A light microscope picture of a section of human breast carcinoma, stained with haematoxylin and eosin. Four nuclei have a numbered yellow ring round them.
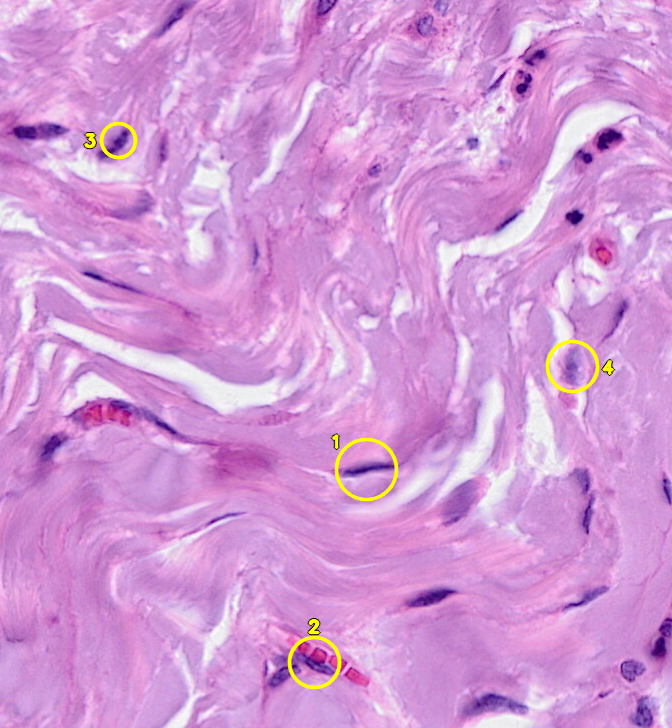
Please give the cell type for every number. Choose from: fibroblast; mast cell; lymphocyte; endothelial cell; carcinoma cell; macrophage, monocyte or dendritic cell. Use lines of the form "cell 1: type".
cell 1: fibroblast
cell 2: endothelial cell
cell 3: fibroblast
cell 4: fibroblast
